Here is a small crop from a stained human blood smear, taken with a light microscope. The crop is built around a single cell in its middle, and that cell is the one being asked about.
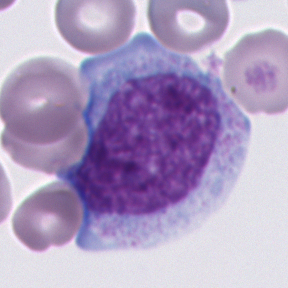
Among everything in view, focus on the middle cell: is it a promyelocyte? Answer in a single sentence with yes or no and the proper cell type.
Yes, in the centre of this field sits a promyelocyte.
